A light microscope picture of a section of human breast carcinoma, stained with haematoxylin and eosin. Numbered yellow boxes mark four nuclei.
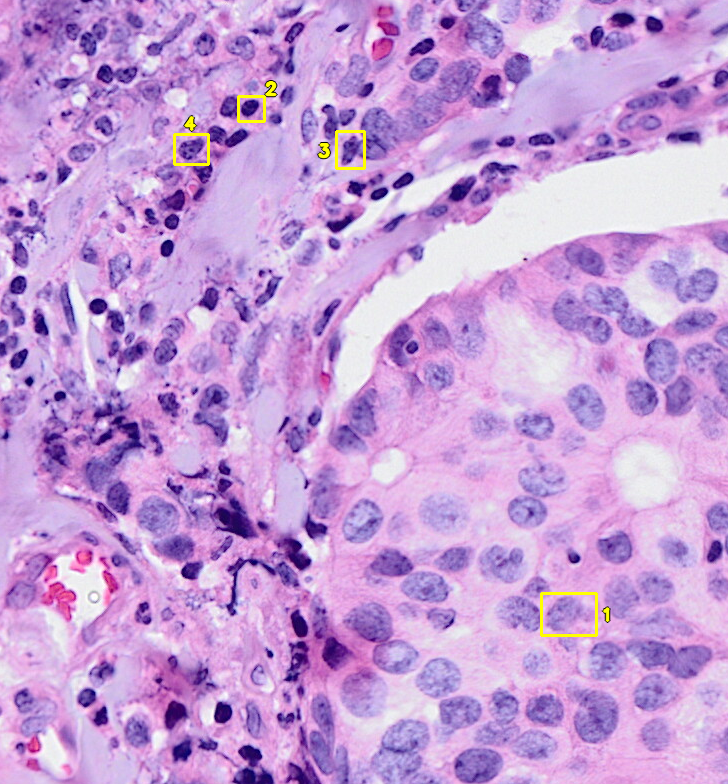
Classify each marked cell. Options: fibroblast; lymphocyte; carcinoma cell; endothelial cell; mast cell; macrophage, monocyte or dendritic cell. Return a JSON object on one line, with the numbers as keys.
{"1": "carcinoma cell", "2": "lymphocyte", "3": "lymphocyte", "4": "lymphocyte"}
